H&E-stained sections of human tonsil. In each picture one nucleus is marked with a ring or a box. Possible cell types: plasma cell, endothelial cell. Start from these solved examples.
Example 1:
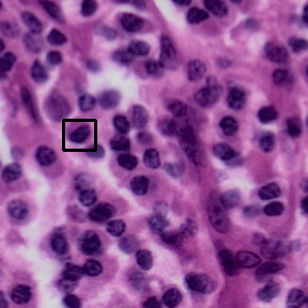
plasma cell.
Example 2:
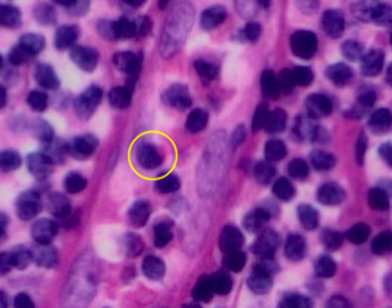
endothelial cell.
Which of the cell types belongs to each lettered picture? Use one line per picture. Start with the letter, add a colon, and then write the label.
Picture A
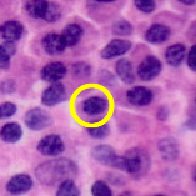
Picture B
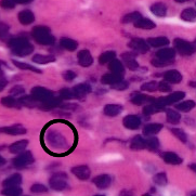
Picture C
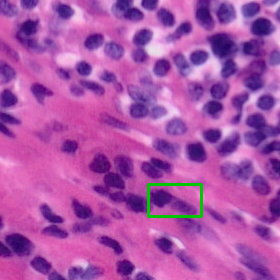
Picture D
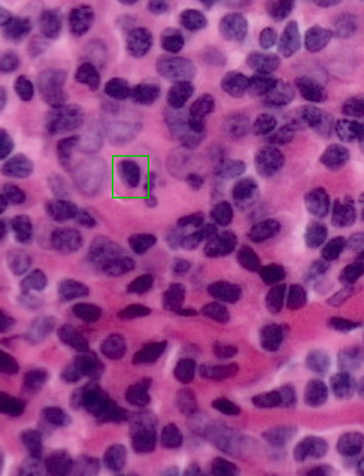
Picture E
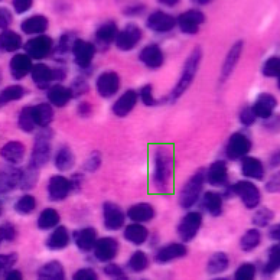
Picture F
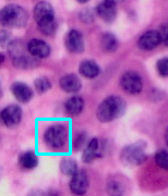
A: plasma cell.
B: endothelial cell.
C: endothelial cell.
D: endothelial cell.
E: endothelial cell.
F: plasma cell.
